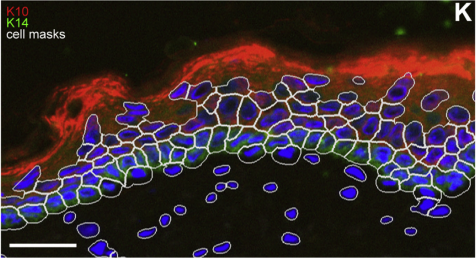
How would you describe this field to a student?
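The lowest row, sitting on the looser underlying tissue with scattered nuclei, is crowded and carries green, while the cells above are larger and flatter toward the surface. A wavy red sheet without nuclei covers the outermost surface.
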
